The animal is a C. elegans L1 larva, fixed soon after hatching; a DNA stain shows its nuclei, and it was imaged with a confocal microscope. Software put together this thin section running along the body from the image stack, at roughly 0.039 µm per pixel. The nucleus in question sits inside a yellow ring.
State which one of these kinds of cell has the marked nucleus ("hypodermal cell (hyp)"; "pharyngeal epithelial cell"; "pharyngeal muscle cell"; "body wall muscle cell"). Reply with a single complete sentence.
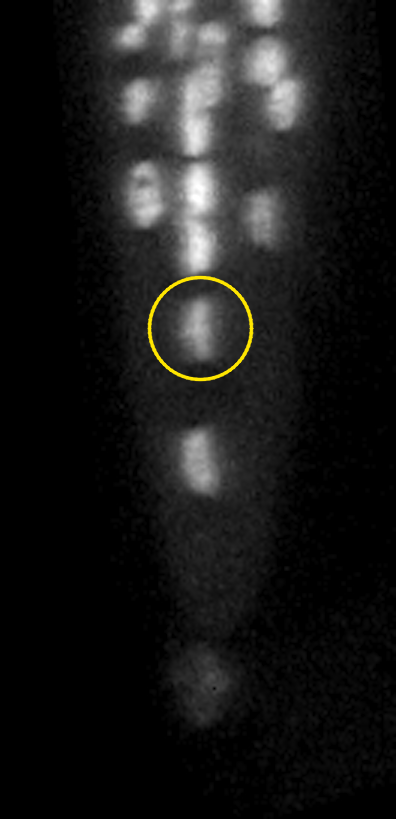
The marked nucleus is that of a pharyngeal epithelial cell.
